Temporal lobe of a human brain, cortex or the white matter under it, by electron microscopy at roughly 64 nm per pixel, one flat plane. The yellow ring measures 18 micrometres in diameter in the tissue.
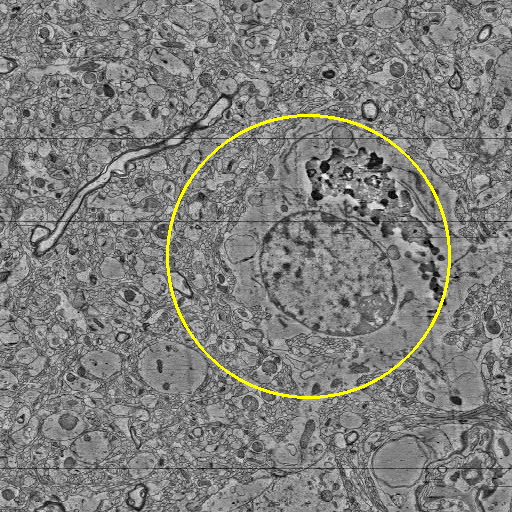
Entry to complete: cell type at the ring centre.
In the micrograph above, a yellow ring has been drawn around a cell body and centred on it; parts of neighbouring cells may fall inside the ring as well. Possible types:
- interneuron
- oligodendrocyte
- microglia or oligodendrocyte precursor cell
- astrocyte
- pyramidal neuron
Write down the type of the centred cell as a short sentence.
The ring is centred on an astrocyte.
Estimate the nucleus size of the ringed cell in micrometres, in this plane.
Roughly 9 by 7 micrometres is the size of the nucleus in this plane.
